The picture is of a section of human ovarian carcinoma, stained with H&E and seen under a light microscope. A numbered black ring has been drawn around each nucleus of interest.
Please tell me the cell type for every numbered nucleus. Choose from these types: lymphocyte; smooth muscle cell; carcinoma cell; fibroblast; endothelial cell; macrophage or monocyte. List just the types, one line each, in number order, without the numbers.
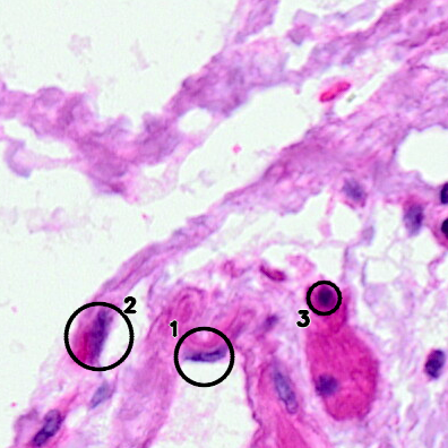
endothelial cell
endothelial cell
smooth muscle cell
